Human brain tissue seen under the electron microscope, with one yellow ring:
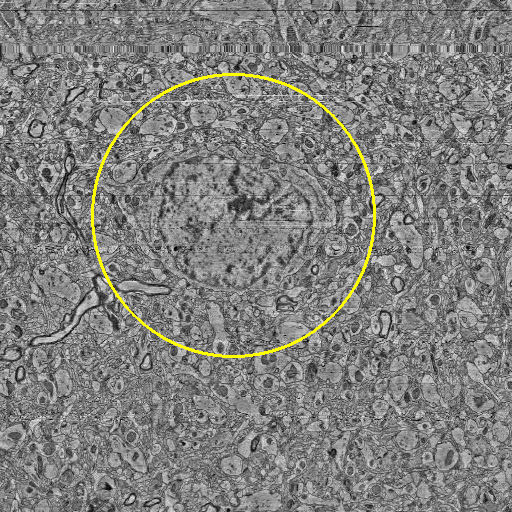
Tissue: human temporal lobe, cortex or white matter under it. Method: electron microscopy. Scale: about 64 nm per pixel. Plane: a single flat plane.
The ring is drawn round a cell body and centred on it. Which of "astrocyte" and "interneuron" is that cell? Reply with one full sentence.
The picture shows an interneuron at the very centre of the yellow ring.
